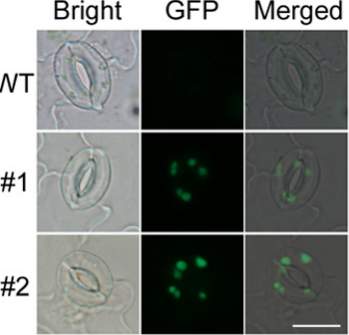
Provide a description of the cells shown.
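Stomata in a leaf epidermis are shown, each a pair of kidney-shaped guard cells flanking a central slit-like pore, set among flat surrounding epidermal cells. In the fluorescence images the guard cells of the lower two rows hold several bright green spots, while the top row shows no green. In the merged images these spots lie within the guard cells on either side of the pore.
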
